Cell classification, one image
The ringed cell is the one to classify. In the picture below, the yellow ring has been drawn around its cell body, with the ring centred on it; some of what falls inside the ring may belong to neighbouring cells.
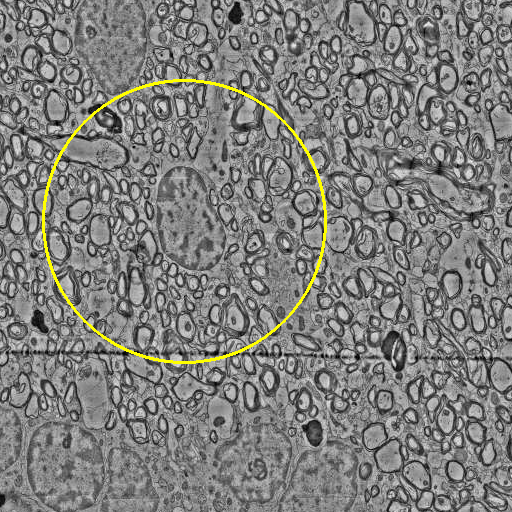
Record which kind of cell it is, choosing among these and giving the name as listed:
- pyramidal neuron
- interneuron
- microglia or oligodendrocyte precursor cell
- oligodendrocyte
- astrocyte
microglia or oligodendrocyte precursor cell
